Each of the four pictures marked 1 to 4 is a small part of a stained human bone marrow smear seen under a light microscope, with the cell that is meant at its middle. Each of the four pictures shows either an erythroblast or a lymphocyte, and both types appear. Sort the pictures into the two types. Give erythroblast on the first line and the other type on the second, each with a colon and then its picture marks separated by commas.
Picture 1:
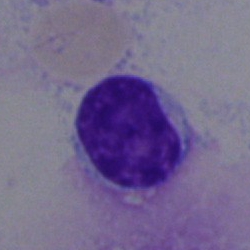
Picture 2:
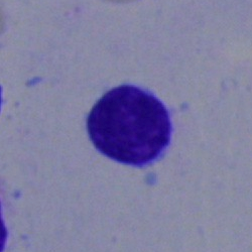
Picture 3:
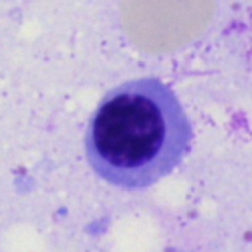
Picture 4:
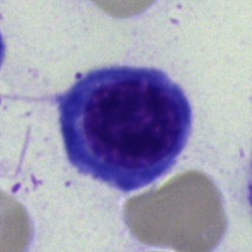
erythroblast: 3, 4
lymphocyte: 1, 2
